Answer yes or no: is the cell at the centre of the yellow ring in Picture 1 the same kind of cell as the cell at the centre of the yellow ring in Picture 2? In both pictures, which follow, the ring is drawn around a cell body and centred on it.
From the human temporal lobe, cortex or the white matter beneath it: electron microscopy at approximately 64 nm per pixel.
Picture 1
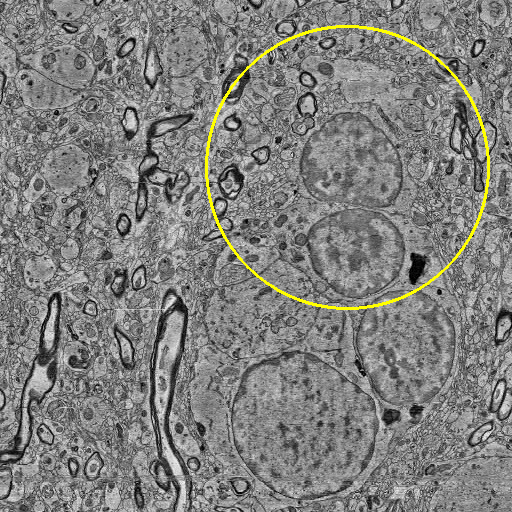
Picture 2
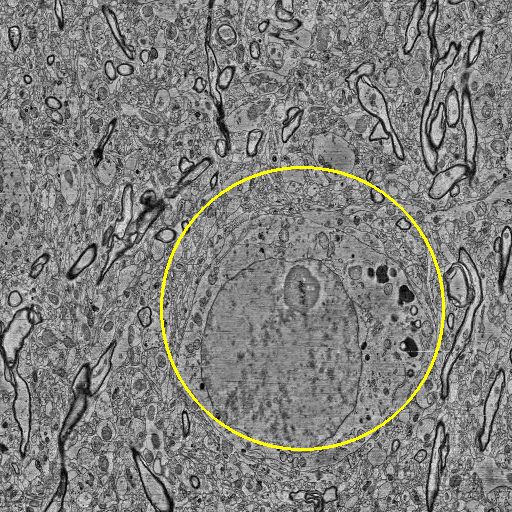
no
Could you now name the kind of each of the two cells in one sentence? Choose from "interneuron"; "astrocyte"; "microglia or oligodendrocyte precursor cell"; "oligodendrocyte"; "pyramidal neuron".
The first ring encloses an oligodendrocyte; the second ring encloses a pyramidal neuron.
